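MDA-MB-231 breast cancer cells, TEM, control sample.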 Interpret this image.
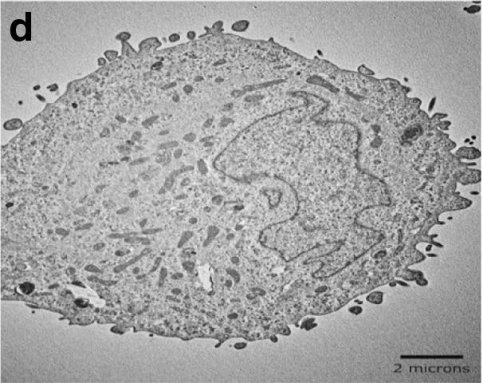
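The nucleus has a strikingly irregular, deeply folded outline, with the nuclear envelope winding in and out. The cell border carries many short projections and small knob-like protrusions, some seen cut off as separate fragments just outside the cell.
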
